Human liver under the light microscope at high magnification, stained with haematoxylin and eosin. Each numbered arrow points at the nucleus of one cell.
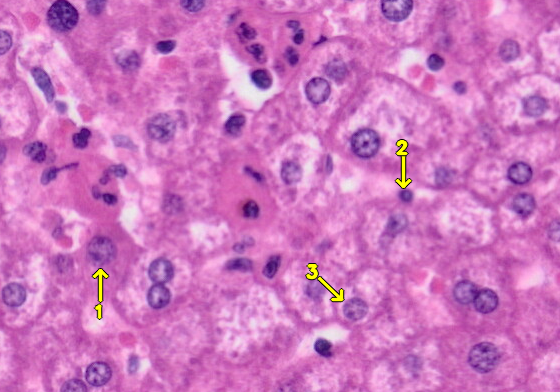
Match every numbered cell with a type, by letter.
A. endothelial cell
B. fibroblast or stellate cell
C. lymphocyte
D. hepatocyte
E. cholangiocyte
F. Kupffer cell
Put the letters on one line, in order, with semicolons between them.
D; C; D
